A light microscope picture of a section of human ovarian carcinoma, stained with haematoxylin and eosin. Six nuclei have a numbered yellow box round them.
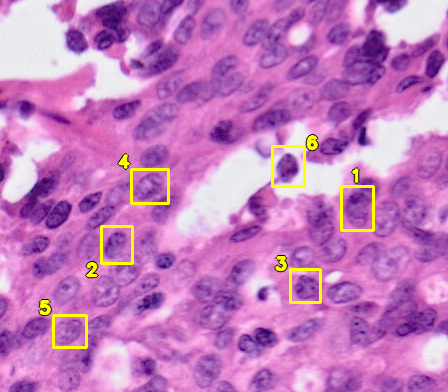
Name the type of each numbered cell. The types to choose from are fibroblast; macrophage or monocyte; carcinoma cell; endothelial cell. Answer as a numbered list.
1. carcinoma cell
2. macrophage or monocyte
3. macrophage or monocyte
4. carcinoma cell
5. carcinoma cell
6. carcinoma cell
